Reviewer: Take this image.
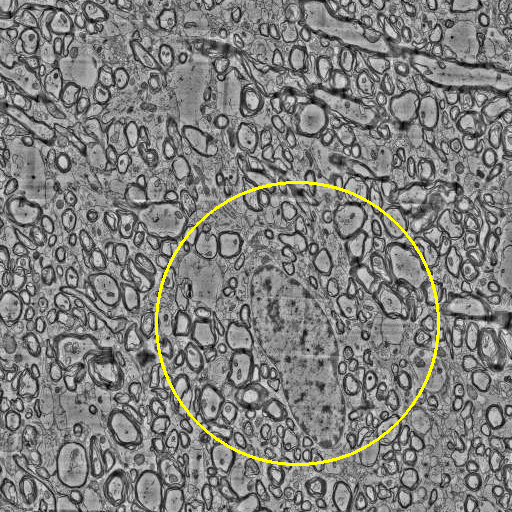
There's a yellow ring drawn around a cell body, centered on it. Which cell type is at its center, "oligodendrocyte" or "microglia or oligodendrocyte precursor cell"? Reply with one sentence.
At the center of the yellow ring is a microglial cell or oligodendrocyte precursor cell.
